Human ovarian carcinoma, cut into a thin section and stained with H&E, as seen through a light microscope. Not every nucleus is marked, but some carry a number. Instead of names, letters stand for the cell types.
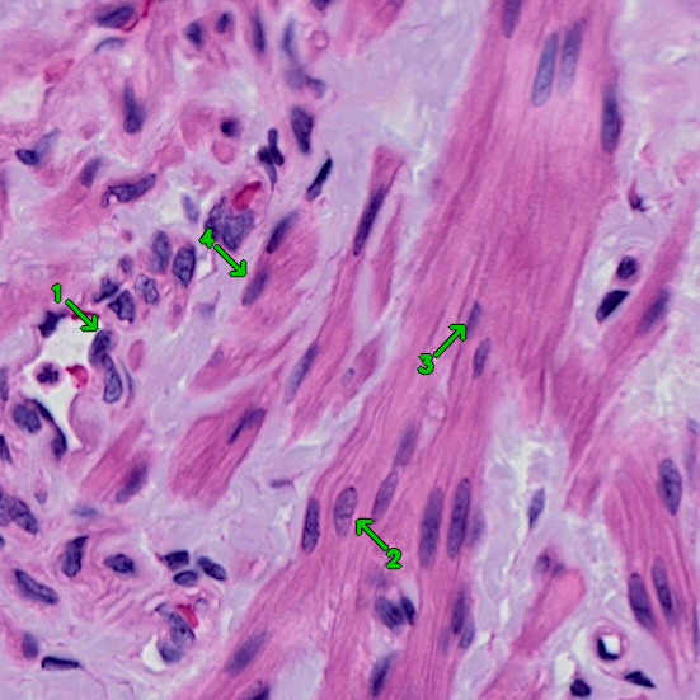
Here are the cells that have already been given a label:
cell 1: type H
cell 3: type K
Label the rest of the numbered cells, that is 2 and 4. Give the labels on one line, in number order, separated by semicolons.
type K; type K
